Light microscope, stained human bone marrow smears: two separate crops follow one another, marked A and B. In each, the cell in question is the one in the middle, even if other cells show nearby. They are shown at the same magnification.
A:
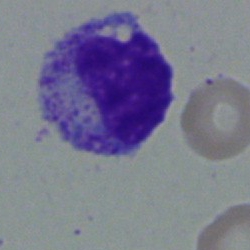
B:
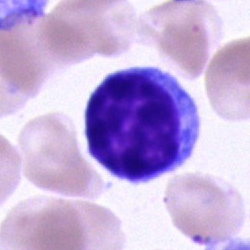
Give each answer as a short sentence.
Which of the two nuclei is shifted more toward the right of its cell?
In crop A the nucleus is shifted more toward the right.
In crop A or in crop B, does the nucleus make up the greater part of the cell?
It is the cell in crop B that is filled more by its nucleus.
